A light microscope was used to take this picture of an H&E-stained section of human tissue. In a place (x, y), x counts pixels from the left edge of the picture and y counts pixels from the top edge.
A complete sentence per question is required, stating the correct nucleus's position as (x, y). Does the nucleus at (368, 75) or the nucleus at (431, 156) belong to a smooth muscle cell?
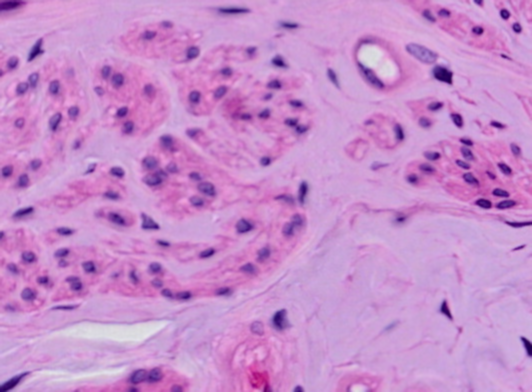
The nucleus lying at (431, 156) is the nucleus of a smooth muscle cell.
